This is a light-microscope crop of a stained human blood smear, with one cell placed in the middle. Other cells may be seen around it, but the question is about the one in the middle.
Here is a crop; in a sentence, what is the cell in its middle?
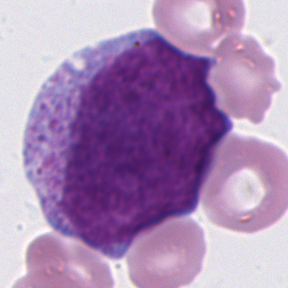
Centrally within this crop lies a promyelocyte.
